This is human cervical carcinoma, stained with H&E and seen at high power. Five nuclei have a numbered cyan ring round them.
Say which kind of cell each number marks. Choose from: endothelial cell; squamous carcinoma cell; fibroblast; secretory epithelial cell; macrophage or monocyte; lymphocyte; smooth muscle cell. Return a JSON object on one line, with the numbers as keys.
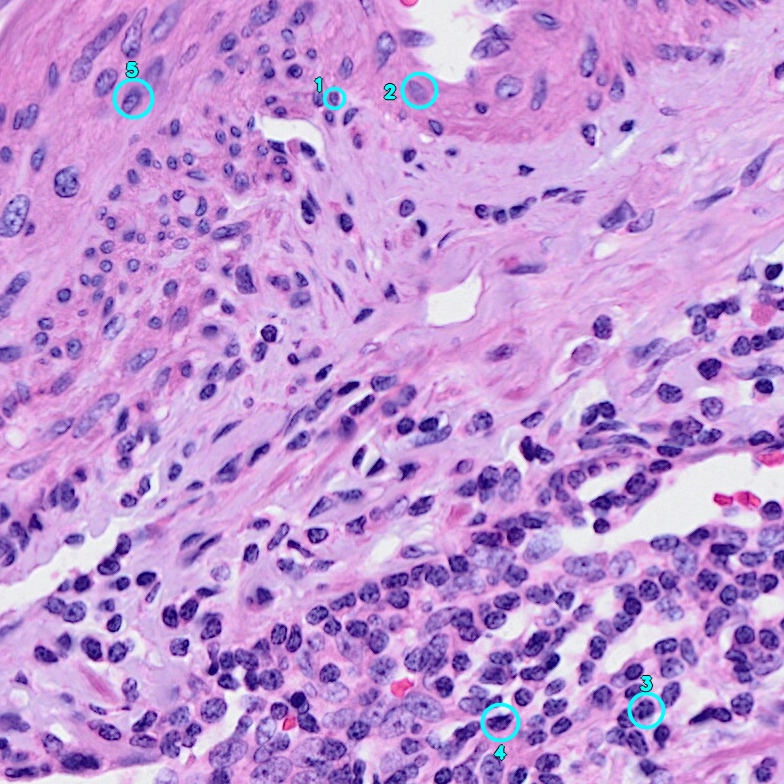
{"1": "smooth muscle cell", "2": "smooth muscle cell", "3": "lymphocyte", "4": "lymphocyte", "5": "smooth muscle cell"}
